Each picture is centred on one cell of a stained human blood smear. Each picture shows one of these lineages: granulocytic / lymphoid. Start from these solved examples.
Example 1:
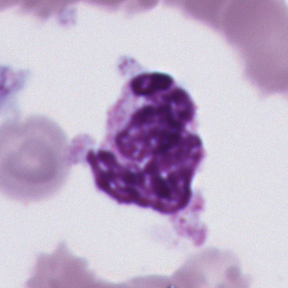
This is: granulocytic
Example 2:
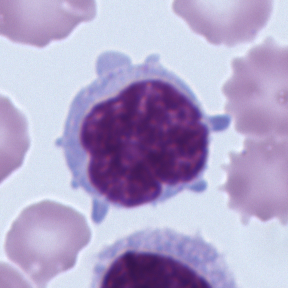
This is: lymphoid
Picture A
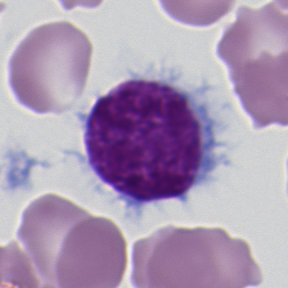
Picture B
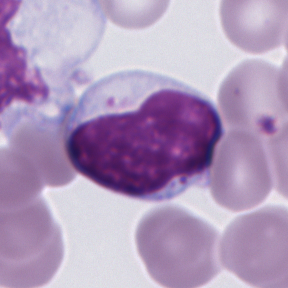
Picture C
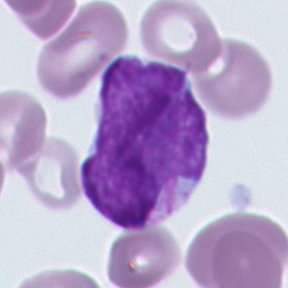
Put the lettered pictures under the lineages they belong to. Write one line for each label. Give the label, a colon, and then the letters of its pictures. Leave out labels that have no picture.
granulocytic: C
lymphoid: A, B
